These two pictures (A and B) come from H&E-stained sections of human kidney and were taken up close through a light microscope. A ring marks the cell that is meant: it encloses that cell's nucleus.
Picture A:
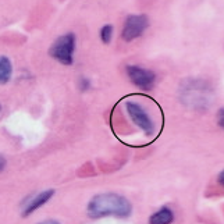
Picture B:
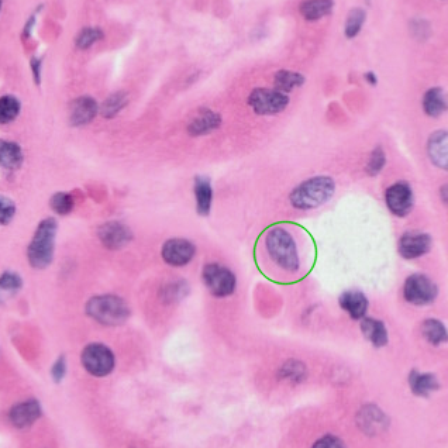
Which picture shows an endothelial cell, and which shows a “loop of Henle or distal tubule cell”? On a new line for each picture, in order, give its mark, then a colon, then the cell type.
A: endothelial cell
B: loop of Henle or distal tubule cell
